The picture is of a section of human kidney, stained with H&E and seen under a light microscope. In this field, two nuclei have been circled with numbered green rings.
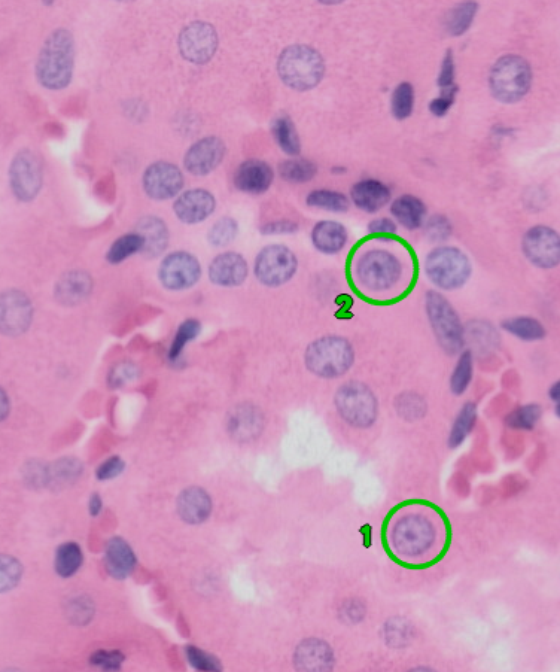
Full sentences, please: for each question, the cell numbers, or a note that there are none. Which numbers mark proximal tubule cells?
Cell 1 is a proximal tubule cell, which is true of none of the other numbered cells.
